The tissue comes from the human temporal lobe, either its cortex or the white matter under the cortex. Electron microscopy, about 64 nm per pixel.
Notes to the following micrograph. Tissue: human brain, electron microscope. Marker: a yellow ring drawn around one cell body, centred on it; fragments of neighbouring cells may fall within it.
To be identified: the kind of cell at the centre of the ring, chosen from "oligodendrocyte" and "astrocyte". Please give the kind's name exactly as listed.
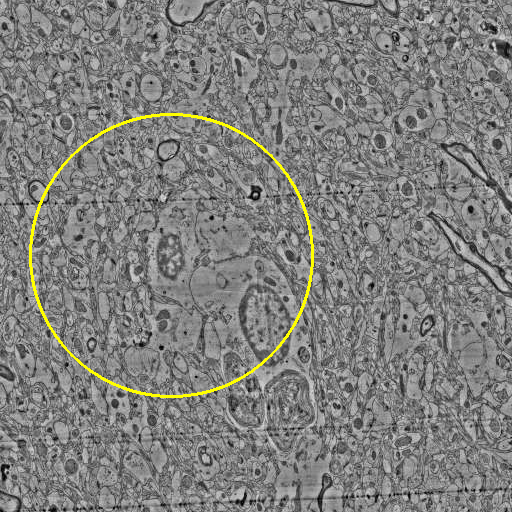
astrocyte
